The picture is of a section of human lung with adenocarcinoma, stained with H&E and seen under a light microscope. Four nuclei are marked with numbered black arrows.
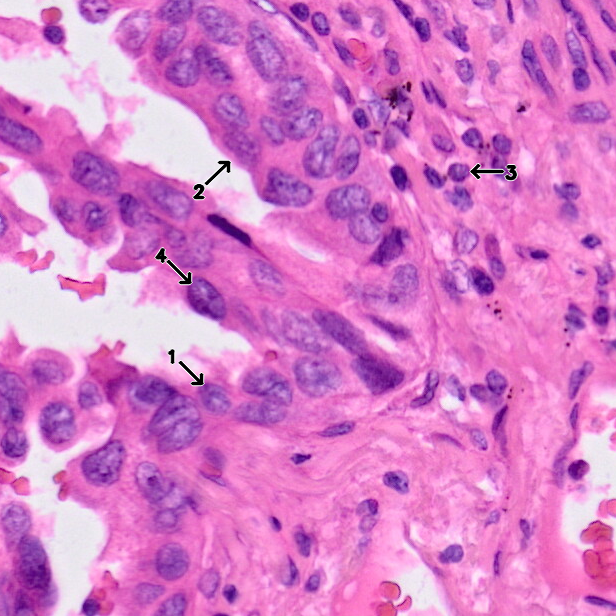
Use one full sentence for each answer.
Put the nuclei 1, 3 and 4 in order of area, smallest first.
Smallest first, the nuclei run 3, 1, 4.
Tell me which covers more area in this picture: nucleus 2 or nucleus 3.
At about 3 times the area of nucleus 3, nucleus 2 is the larger of the two.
